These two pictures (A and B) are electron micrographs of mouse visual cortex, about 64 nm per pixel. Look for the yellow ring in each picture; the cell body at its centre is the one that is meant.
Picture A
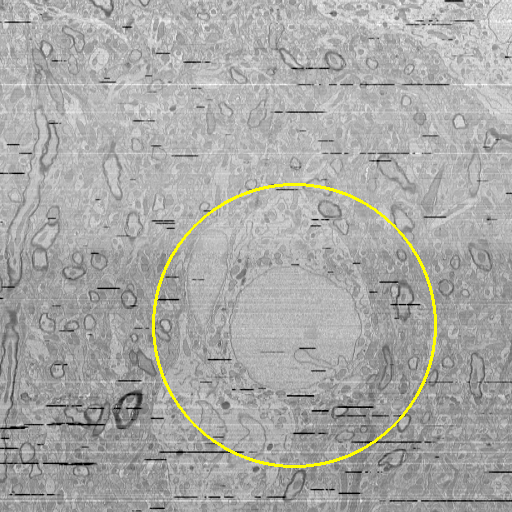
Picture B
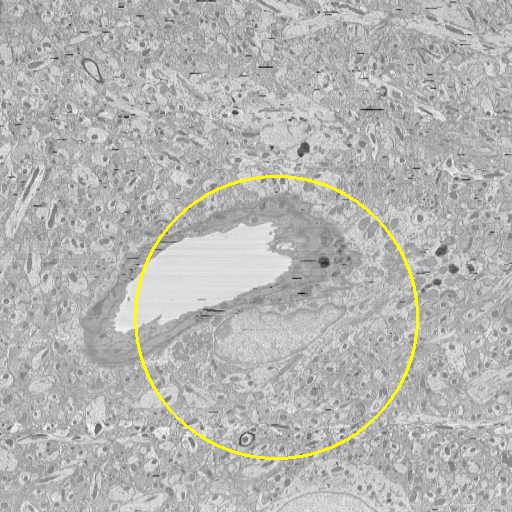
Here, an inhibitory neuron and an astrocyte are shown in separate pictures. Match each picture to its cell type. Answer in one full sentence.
Picture B shows an astrocyte, while picture A shows an inhibitory neuron.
